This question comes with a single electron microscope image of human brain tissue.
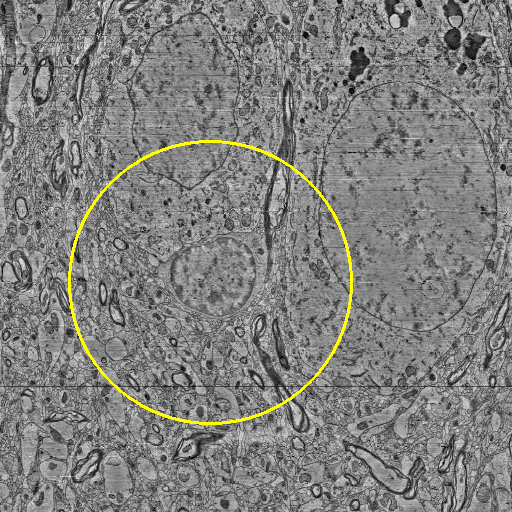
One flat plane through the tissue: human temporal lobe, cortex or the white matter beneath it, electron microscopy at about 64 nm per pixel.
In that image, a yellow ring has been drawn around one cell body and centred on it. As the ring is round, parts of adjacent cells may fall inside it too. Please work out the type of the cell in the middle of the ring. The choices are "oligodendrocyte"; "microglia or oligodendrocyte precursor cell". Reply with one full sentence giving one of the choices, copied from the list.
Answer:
Of the choices, an oligodendrocyte is the cell sitting in the middle of the ring.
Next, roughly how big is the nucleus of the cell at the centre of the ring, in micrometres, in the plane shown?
Approximately 5 micrometers across in this plane.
